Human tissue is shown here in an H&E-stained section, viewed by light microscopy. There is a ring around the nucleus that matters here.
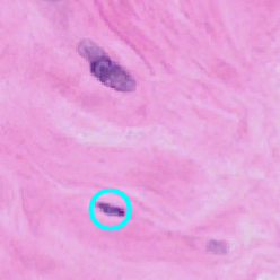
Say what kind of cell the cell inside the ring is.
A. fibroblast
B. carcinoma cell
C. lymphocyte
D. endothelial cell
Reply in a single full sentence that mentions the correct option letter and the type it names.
What option A states, that the cell inside the ring is a fibroblast, is correct.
